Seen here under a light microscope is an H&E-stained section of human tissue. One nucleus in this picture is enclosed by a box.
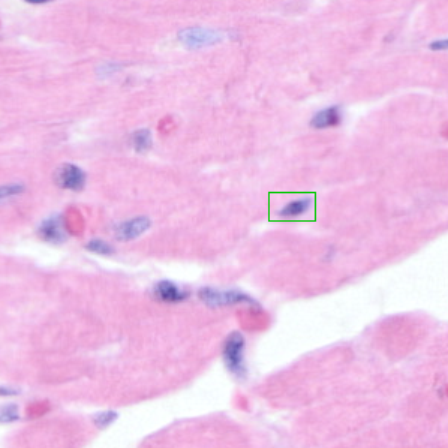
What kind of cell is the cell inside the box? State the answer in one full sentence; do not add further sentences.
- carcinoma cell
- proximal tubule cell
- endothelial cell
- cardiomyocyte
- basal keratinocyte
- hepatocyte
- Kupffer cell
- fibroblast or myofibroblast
It is as an endothelial cell that the cell inside the box is recorded.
